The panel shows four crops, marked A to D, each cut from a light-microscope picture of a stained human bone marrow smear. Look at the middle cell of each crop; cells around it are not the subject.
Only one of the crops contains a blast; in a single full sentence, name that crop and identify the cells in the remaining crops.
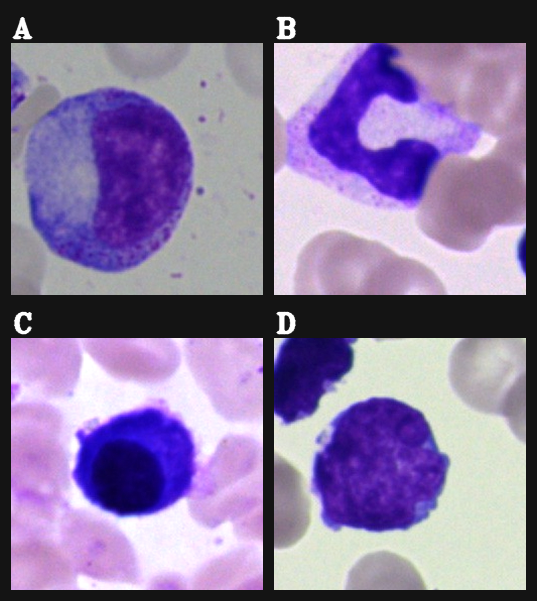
Crop D presents a blast at its centre, whereas crop A is a promyelocyte, crop B is a band neutrophil and crop C is a plasma cell.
